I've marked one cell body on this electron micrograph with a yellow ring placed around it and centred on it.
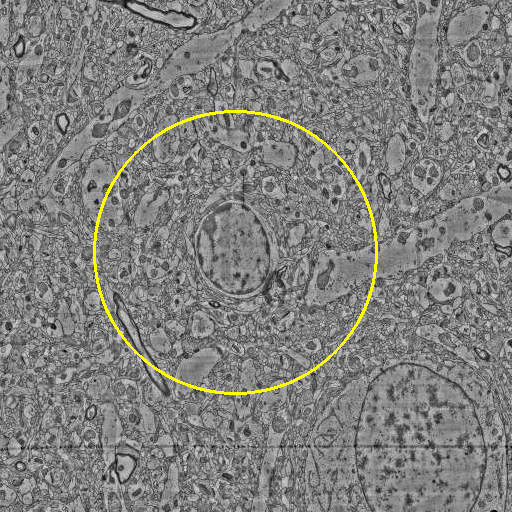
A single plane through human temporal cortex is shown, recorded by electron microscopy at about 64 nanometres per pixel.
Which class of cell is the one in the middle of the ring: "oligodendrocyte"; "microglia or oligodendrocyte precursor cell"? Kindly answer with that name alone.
microglia or oligodendrocyte precursor cell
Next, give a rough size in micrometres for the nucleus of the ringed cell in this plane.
In this plane the nucleus spans approximately 6 by 5 micrometers.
